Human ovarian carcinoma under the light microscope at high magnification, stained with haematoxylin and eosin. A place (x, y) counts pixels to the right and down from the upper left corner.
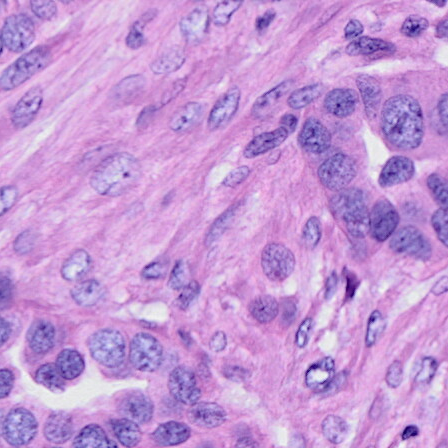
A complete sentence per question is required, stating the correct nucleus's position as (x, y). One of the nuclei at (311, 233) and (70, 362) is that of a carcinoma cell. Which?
Of the two nuclei, the one at (70, 362) belongs to a carcinoma cell.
